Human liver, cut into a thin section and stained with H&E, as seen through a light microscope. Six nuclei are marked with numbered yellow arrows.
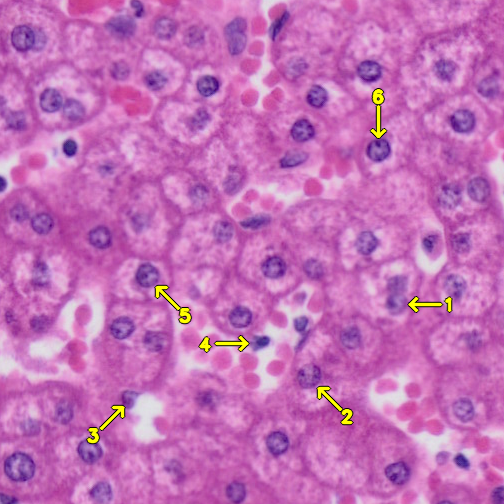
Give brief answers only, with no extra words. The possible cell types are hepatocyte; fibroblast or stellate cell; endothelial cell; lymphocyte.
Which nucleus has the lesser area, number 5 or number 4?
4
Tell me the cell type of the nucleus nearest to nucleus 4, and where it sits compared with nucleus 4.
a hepatocyte; above and to the left of nucleus 4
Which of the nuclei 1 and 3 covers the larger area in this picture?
1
